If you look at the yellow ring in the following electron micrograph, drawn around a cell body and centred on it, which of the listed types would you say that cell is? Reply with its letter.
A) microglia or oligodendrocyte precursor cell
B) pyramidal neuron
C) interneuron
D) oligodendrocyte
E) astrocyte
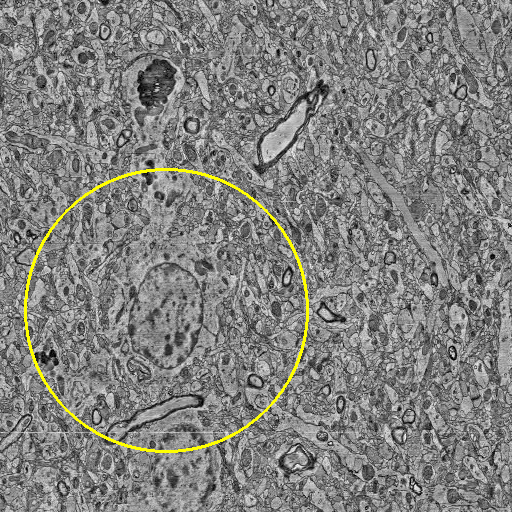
E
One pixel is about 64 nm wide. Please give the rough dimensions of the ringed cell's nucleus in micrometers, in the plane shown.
Roughly 7 by 5 micrometres is the size of the nucleus in this plane.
